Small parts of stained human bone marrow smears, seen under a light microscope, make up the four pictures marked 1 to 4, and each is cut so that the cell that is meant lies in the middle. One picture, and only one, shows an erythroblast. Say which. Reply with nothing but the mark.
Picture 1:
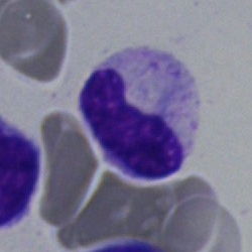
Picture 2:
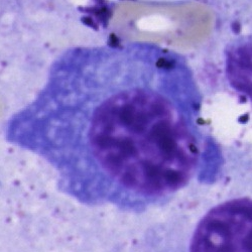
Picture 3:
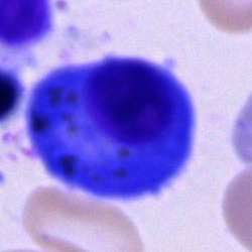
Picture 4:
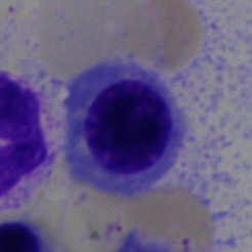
4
